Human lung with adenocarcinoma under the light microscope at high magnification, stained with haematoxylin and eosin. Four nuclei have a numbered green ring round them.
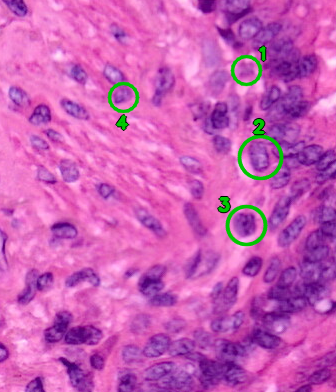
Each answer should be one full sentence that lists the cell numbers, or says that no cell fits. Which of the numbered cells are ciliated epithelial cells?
The cells that bear the numbers 1 and 2 are ciliated epithelial cells.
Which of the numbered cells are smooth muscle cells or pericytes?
Among the cells marked with numbers, the only one that is a smooth muscle cell or pericyte is number 4.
